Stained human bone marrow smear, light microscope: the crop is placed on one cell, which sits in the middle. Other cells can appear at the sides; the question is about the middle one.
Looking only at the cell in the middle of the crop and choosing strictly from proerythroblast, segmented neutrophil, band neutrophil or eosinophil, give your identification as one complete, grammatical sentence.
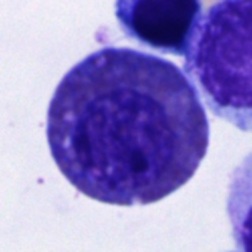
What the crop centres on is an eosinophil.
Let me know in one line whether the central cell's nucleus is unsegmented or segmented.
Please observe that the nucleus consists of one compact round, oval or kidney-shaped mass.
